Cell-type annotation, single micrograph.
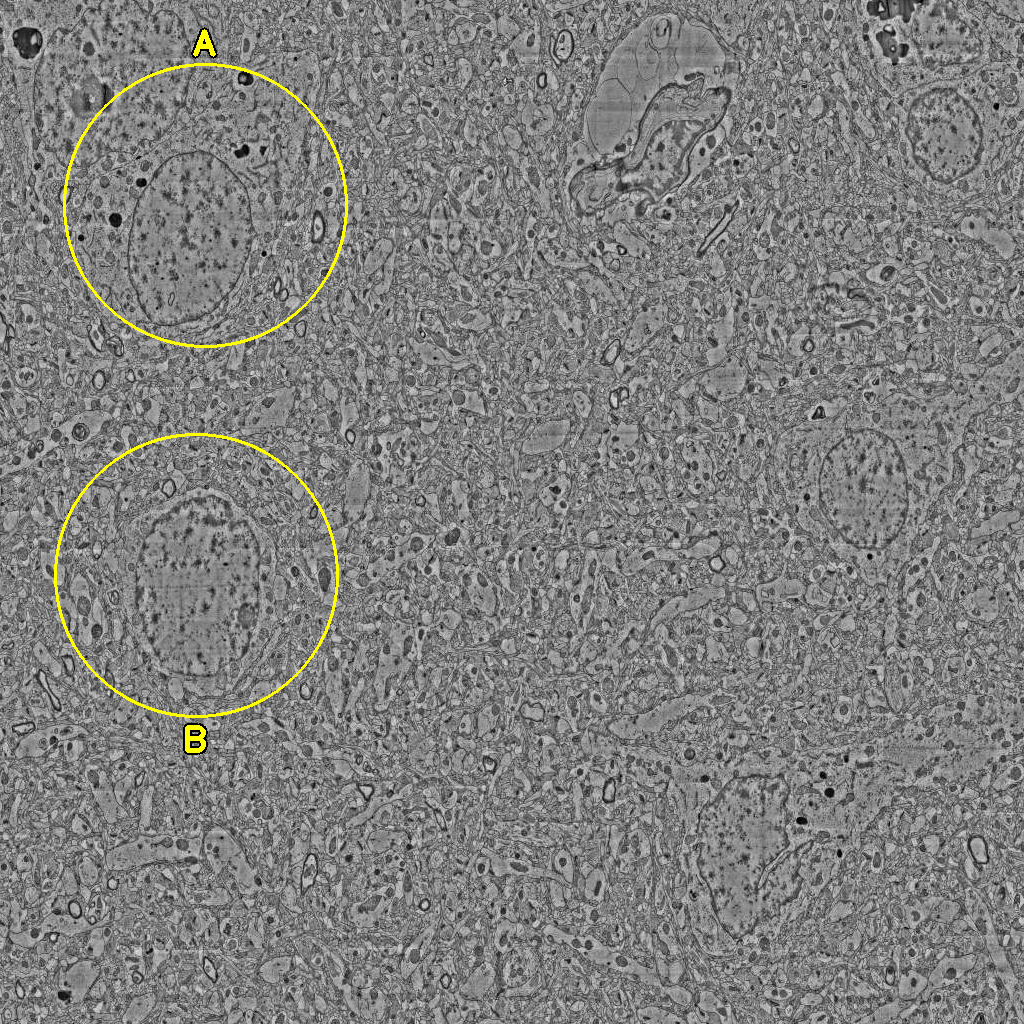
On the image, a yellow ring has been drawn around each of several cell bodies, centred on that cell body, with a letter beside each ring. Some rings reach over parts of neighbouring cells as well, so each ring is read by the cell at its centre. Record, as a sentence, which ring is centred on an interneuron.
Ring B is centred on it.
